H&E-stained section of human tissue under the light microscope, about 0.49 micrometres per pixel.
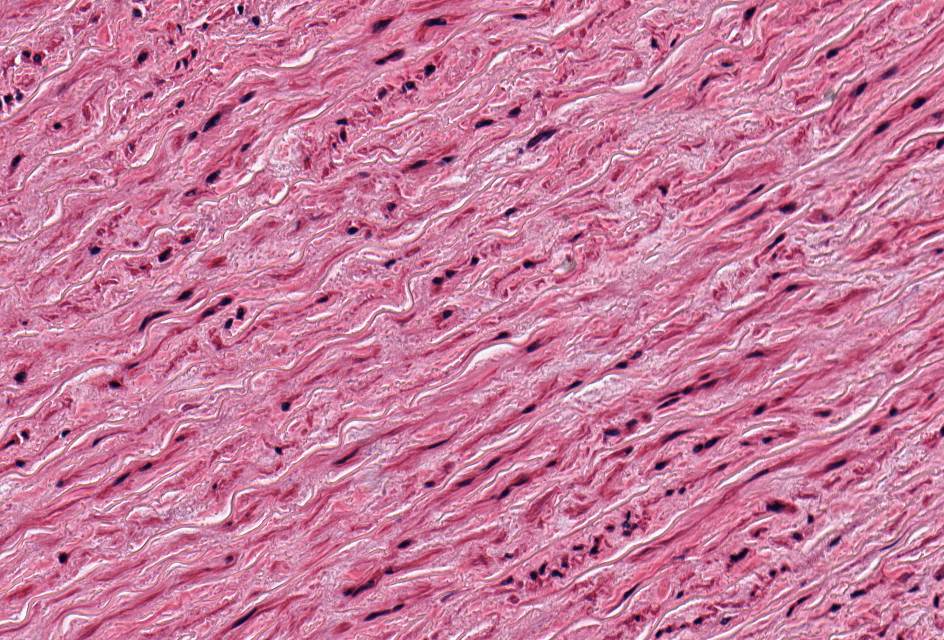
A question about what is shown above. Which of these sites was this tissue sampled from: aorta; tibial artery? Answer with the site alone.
aorta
